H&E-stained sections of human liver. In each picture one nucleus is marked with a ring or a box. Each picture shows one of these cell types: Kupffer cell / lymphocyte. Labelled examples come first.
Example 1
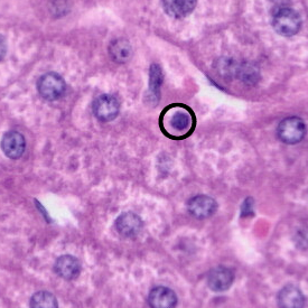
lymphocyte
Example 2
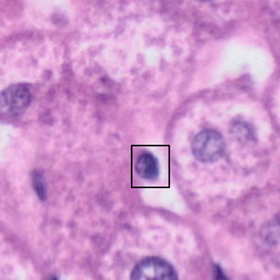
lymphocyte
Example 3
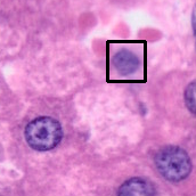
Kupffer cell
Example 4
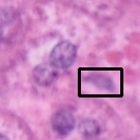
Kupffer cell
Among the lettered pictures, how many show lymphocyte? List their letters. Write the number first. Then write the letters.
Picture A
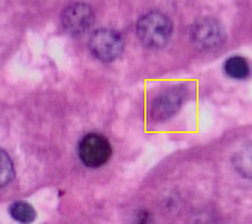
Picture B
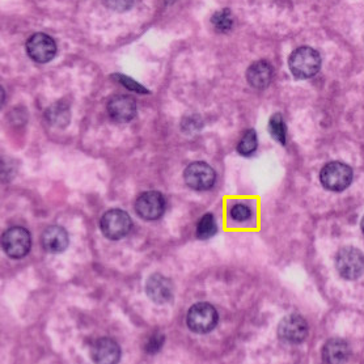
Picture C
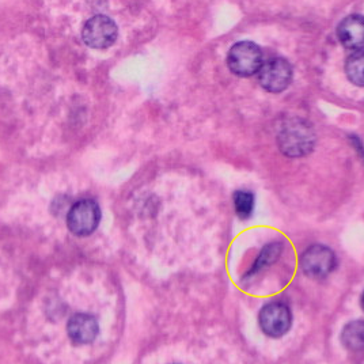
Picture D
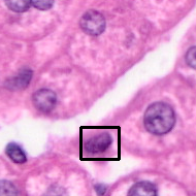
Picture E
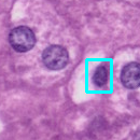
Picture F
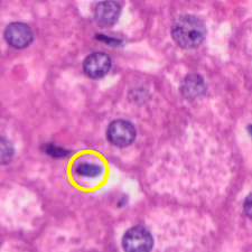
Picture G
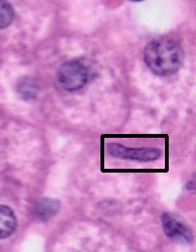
2, namely B, F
